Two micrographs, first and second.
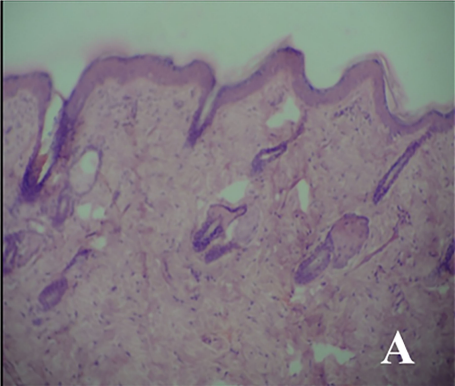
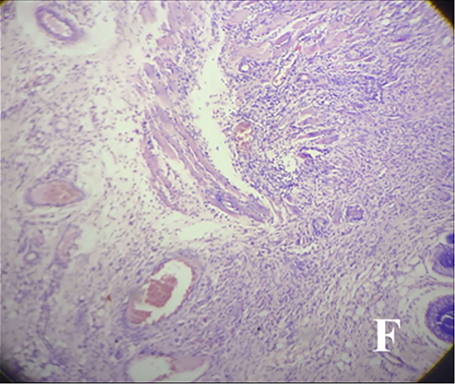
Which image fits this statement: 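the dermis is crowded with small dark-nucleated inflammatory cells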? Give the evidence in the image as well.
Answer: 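Second image: dense sheets of small dark nuclei fill much of the dermis. First image: the dermis is pale and sparsely cellular beneath a thin epithelium.
The second image.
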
